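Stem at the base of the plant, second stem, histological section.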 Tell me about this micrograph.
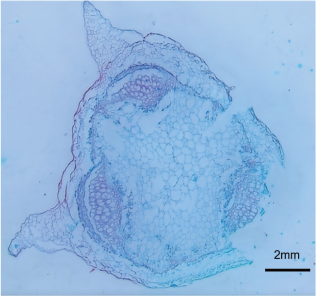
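A large, irregularly lobed stem cross-section shows a broad central region of big, thin-walled polygonal cells stained pale blue, ringed by vascular bundles. Within the bundles lie compact clusters of wide, round cells stained purple, surrounded by blue-green tissue and an outer cortical band. The purple clusters are xylem vessels in a stem surrounding a pith.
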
